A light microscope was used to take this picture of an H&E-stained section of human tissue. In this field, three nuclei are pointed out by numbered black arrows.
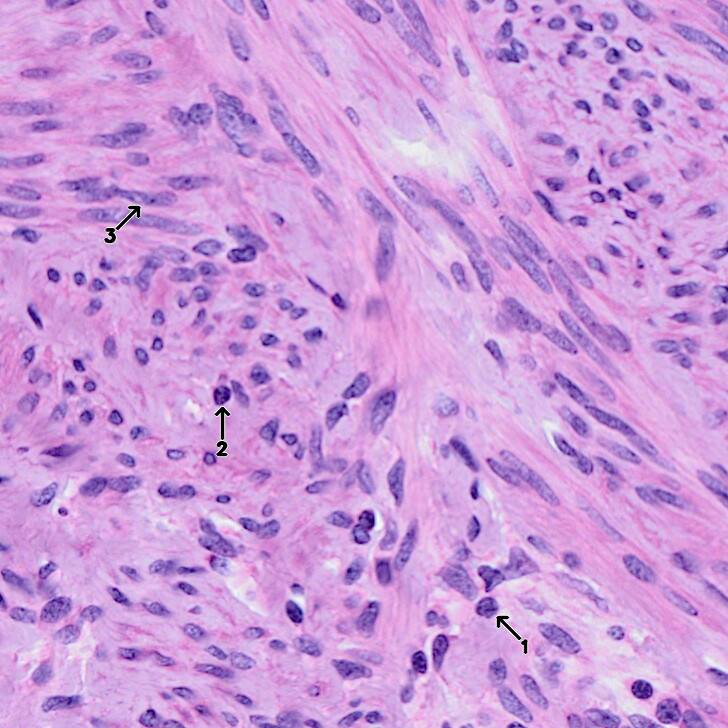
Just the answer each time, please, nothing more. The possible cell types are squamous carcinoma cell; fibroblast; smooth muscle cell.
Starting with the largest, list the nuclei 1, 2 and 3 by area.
3, 1, 2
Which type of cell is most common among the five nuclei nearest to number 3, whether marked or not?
smooth muscle cell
